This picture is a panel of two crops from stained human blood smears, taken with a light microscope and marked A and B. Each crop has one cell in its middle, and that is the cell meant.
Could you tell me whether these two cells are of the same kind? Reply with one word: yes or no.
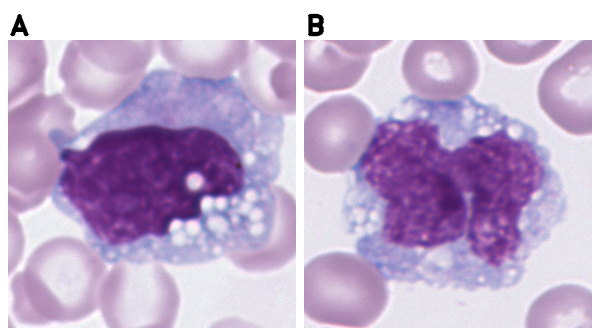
yes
